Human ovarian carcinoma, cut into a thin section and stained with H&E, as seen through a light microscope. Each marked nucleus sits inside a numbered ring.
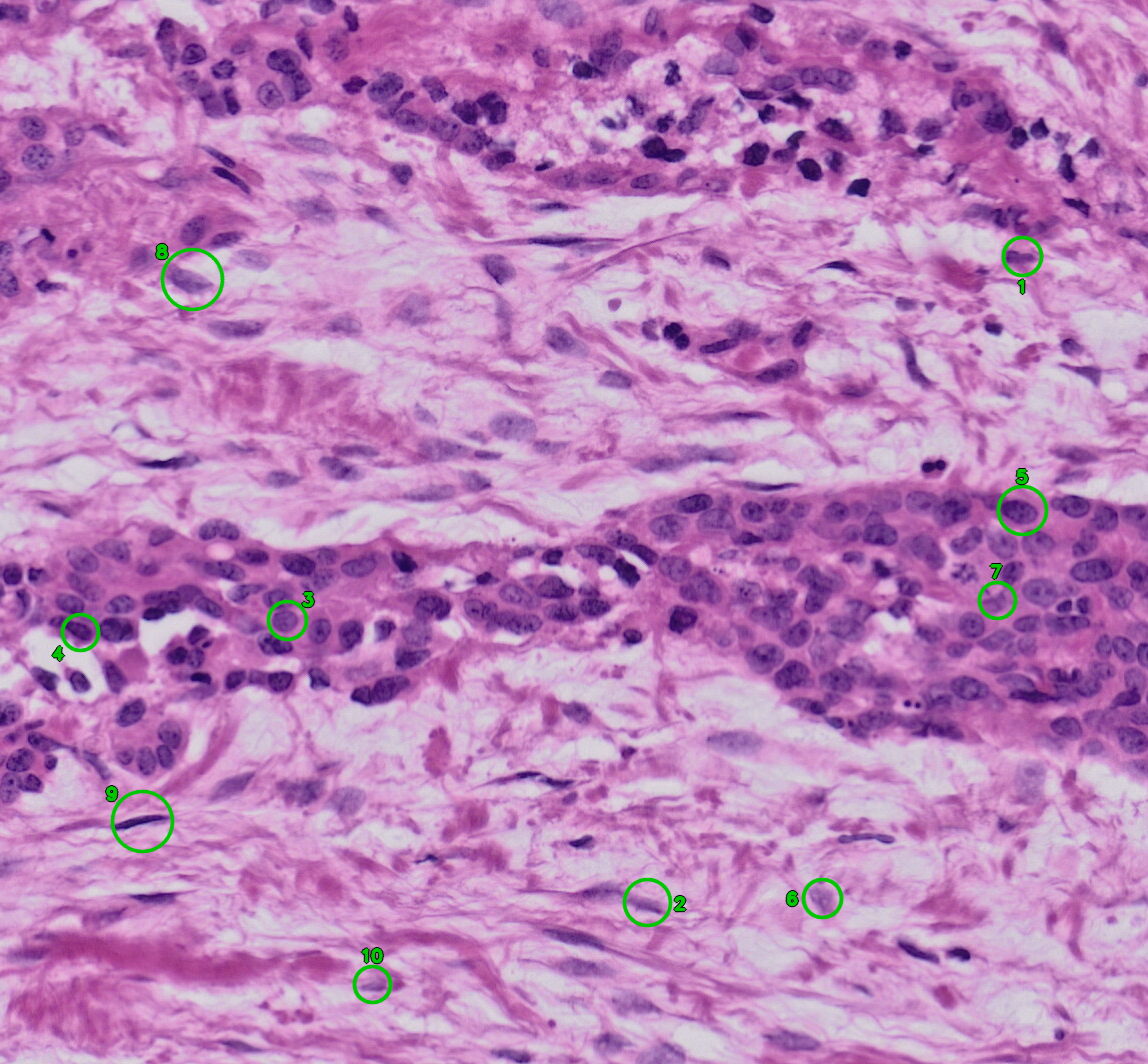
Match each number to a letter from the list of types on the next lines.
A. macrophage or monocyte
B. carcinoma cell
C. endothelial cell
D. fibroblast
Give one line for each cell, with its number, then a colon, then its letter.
1: D
2: D
3: B
4: B
5: B
6: D
7: B
8: D
9: D
10: D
